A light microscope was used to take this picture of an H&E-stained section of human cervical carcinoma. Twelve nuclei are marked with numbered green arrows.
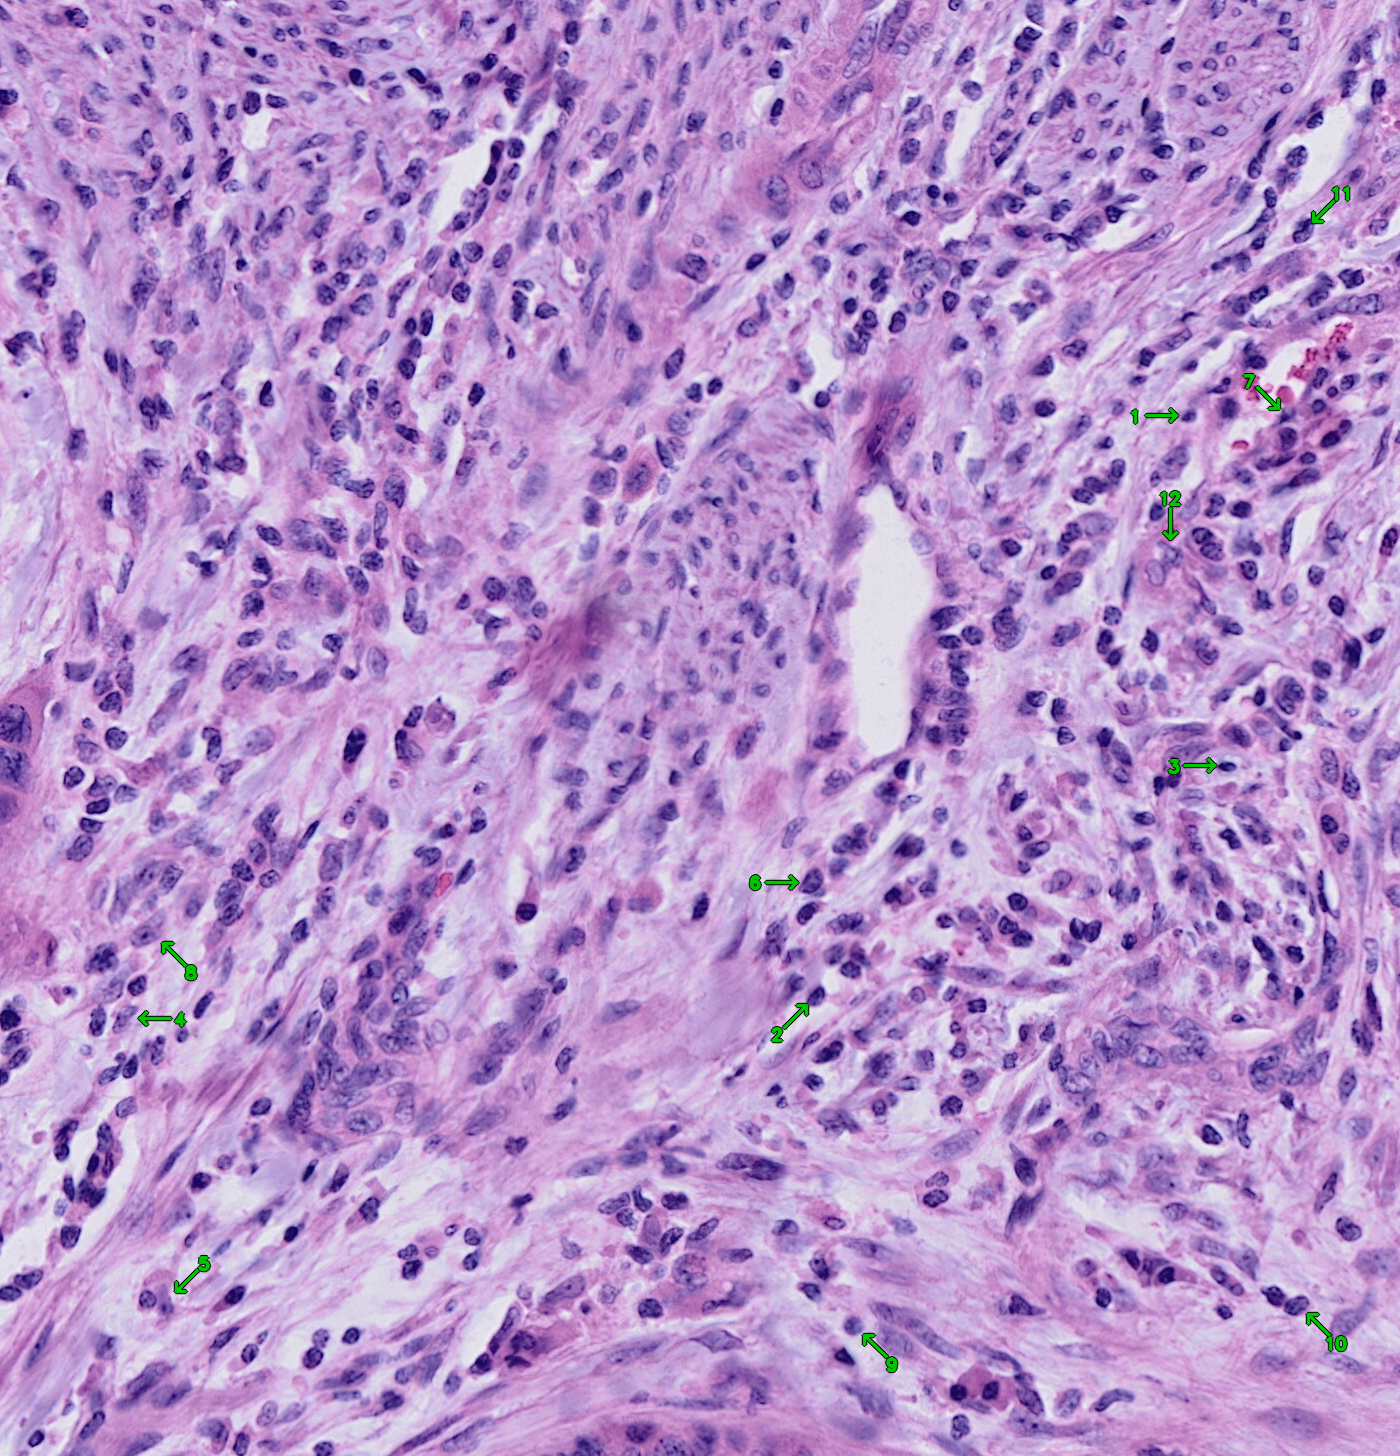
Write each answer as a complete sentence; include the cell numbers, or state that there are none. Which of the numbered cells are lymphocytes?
The cells tagged with numbers 1, 2, 3, 6, 9, 10 and 11 are lymphocytes.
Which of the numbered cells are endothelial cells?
The cells carrying the numbers 7 and 12 are endothelial cells.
